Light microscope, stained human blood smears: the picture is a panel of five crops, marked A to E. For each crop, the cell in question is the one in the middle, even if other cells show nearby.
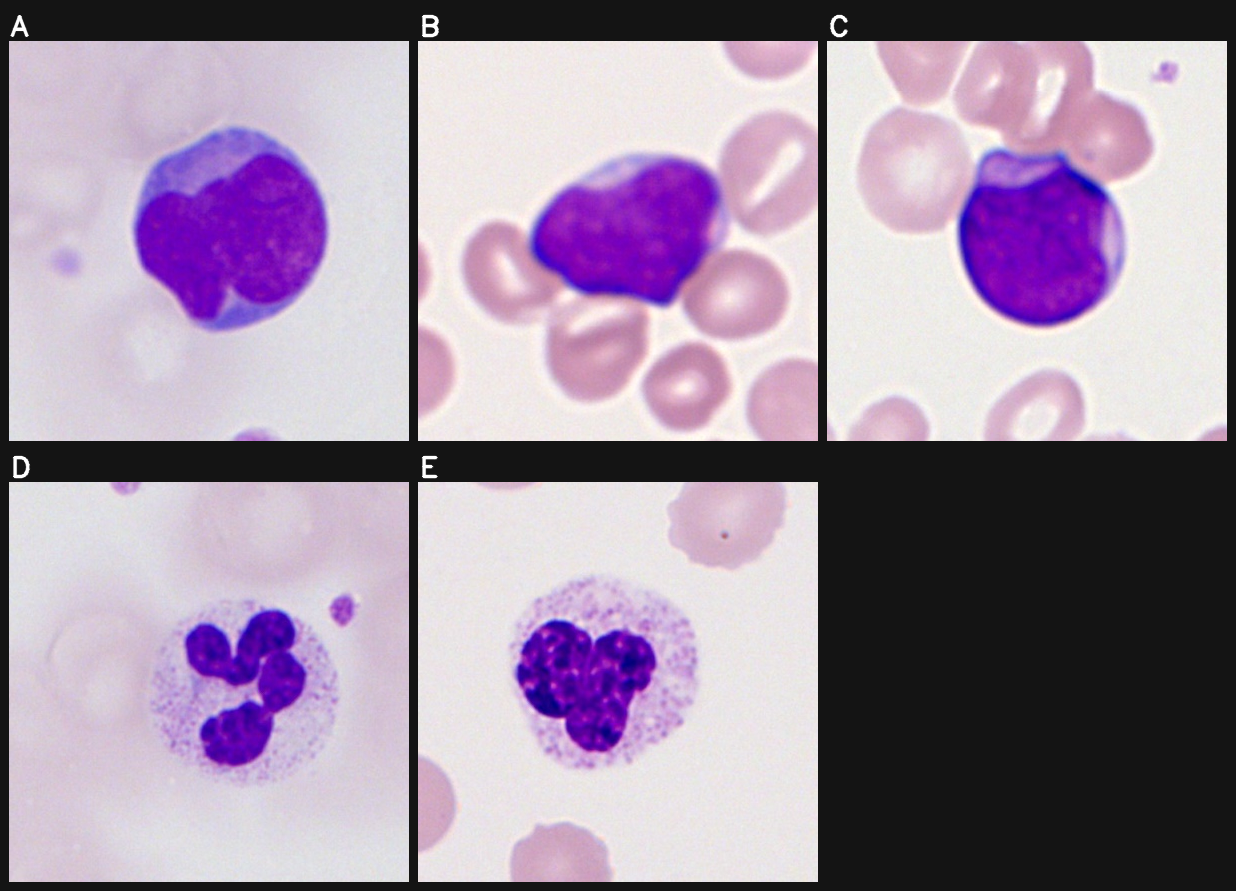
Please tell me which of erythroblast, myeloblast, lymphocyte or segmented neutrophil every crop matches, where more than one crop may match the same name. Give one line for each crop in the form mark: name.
A: myeloblast
B: myeloblast
C: myeloblast
D: segmented neutrophil
E: segmented neutrophil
